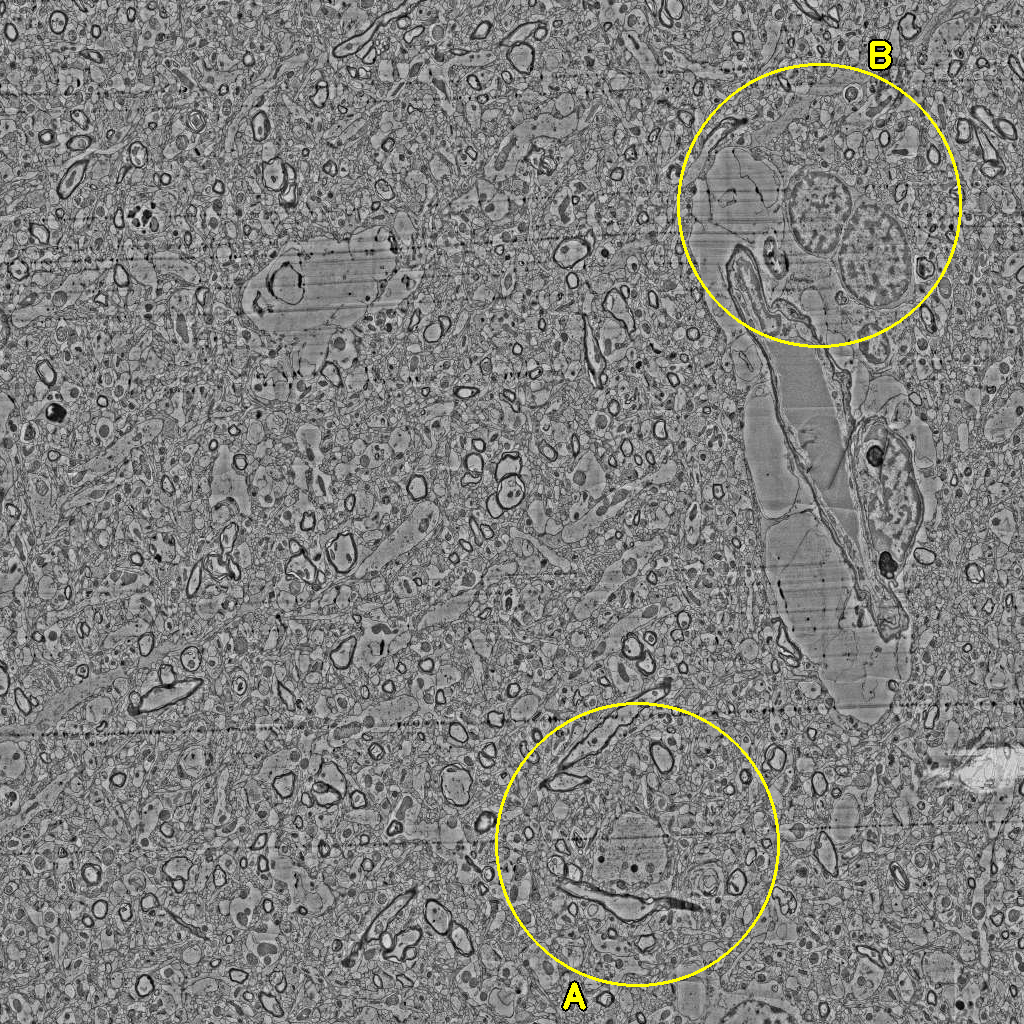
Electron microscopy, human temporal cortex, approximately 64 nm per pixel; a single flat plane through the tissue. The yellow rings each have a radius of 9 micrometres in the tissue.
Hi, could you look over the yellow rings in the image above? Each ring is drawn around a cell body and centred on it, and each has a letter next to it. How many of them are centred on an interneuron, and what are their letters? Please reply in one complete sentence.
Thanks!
Ring A is the single ring in the micrograph centred on an interneuron.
